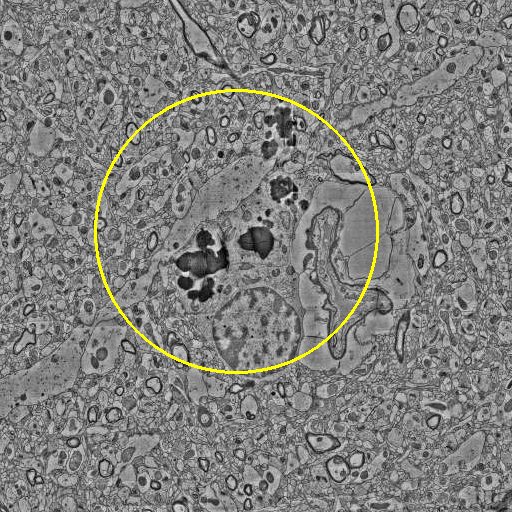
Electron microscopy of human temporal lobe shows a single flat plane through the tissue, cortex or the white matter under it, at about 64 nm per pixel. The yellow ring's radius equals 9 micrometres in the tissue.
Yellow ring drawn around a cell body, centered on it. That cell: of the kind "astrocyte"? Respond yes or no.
no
